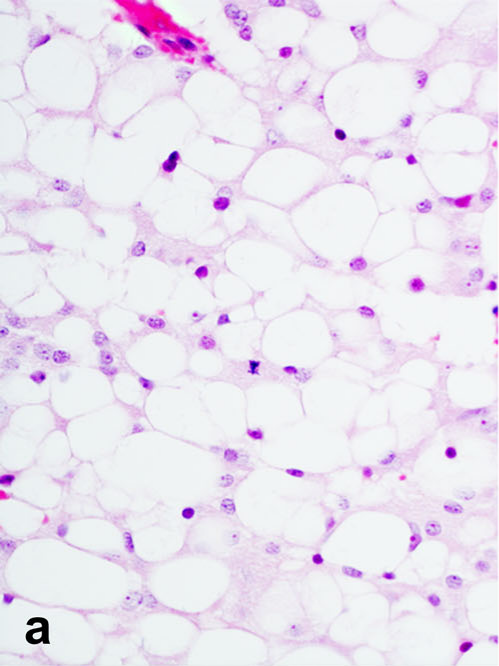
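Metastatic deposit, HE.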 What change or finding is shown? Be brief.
Clear vacuolated cytoplasms.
